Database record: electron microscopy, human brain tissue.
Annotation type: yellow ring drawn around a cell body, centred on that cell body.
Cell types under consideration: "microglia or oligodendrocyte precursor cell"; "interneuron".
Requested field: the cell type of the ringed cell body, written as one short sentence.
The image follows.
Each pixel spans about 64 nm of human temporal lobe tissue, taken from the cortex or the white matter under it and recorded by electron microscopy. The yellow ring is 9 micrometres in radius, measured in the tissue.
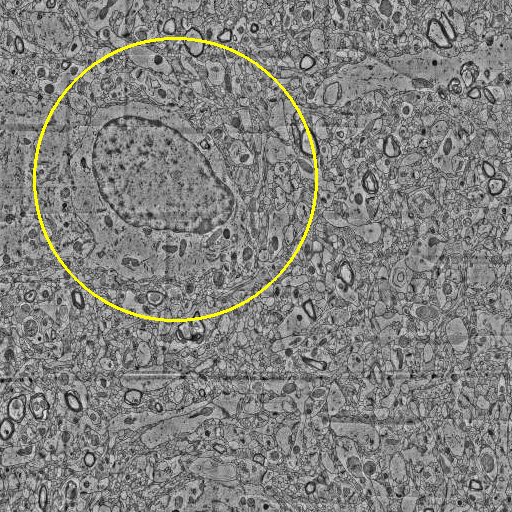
The ringed cell body represents a microglial cell or oligodendrocyte precursor cell.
